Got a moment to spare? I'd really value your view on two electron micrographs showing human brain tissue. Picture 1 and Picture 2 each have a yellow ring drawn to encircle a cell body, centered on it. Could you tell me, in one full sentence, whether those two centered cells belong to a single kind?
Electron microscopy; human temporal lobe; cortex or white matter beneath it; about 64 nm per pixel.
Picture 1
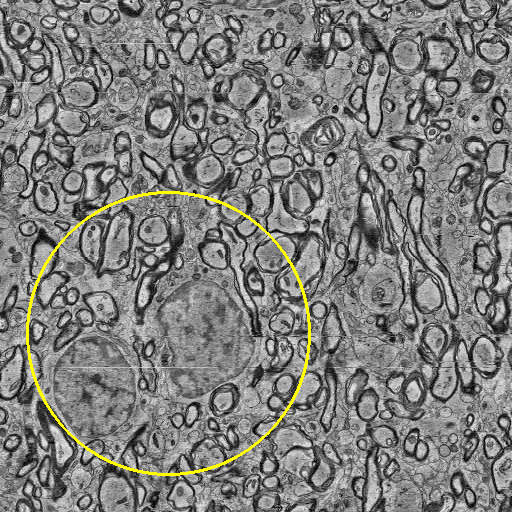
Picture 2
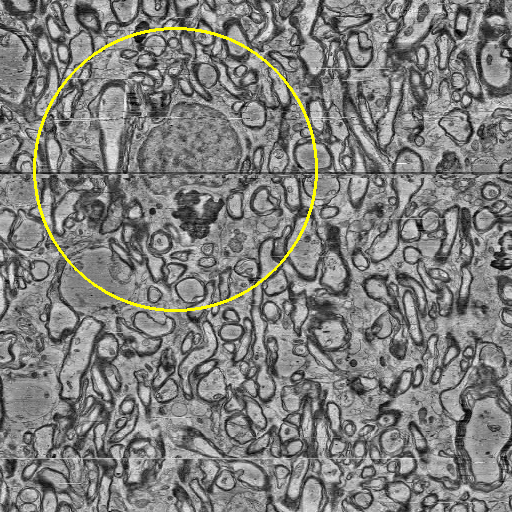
Yes, the two centered cells in Picture 1 and Picture 2 are of a single kind.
